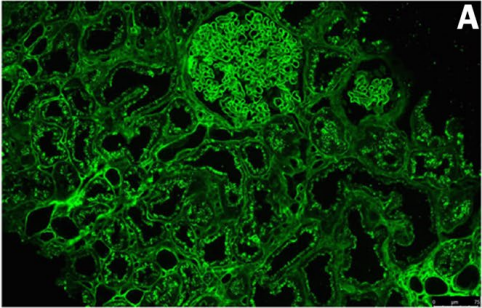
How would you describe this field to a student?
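A section of kidney cortex with a round glomerulus near the top and a smaller tuft beside it, surrounded by many cross-cut tubules. Thin, bright green lines trace the looping capillary walls within the glomerulus, the capsule around it, and the outer walls of the tubules, giving a lacework of continuous linear outlines.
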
